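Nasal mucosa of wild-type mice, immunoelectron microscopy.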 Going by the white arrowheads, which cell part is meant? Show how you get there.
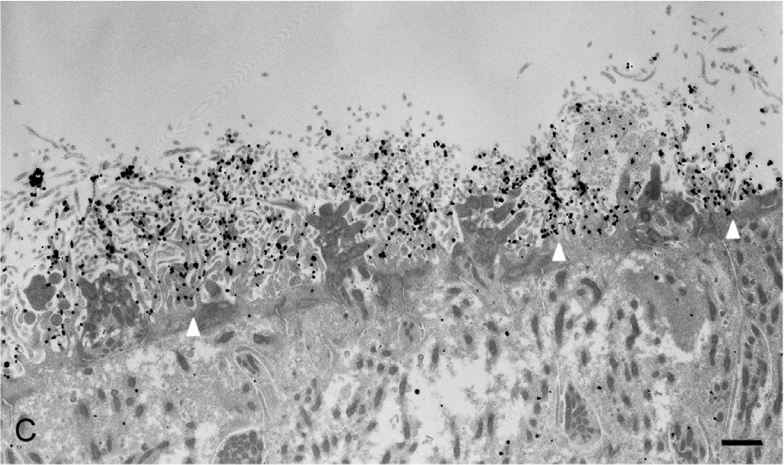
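The arrowheads point to the apical surface of the epithelial cells. Many fine projections cut in various planes rise from the apical surface. Black particles cluster among these projections. That points to this answer: microvilli.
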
